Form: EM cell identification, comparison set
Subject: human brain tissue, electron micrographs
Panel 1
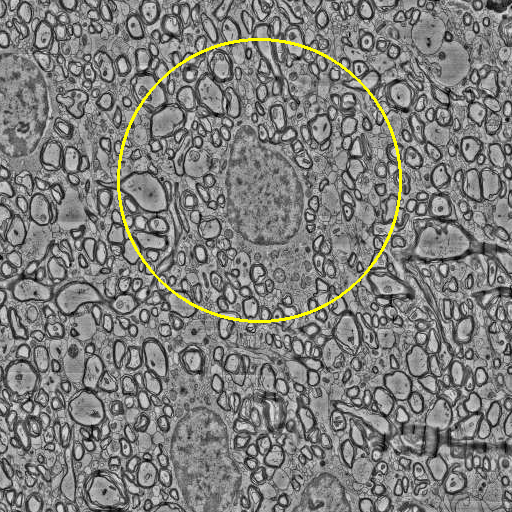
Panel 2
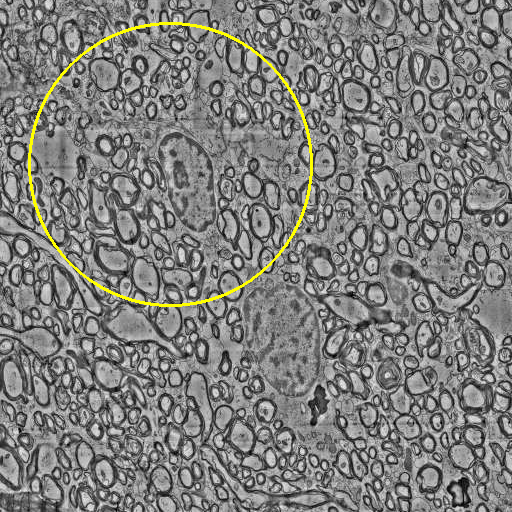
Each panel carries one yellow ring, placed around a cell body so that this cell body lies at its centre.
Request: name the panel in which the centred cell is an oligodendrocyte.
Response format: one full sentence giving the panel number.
Panel 1 has it at the centre of its ring.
